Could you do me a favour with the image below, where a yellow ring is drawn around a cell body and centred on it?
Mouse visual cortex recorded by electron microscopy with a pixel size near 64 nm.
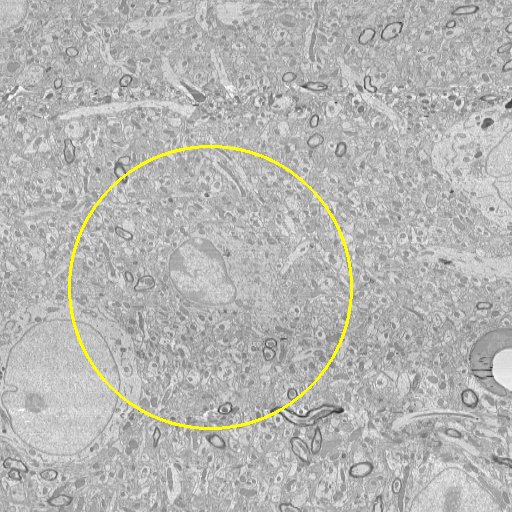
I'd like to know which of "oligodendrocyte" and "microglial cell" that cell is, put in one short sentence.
The cell at the ring's centre is an oligodendrocyte.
